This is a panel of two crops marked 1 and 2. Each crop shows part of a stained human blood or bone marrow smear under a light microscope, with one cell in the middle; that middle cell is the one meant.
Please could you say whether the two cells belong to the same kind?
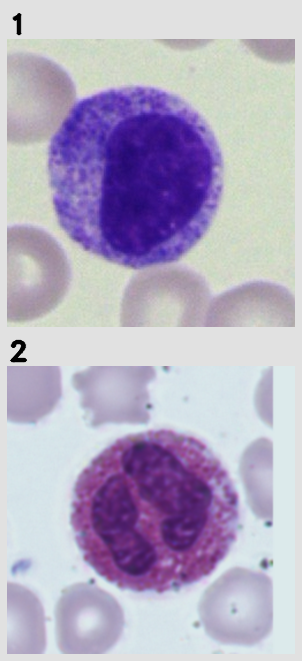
no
